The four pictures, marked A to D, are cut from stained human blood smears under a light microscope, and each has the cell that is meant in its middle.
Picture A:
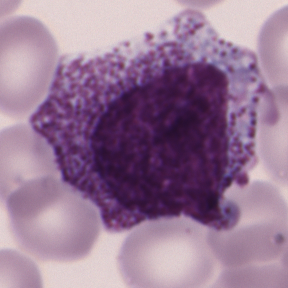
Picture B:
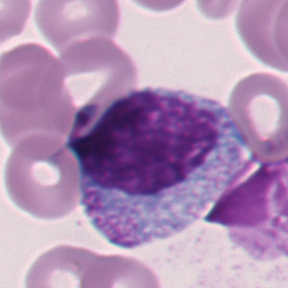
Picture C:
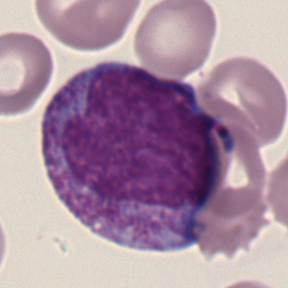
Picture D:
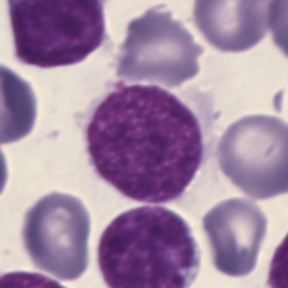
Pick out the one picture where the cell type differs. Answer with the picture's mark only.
D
